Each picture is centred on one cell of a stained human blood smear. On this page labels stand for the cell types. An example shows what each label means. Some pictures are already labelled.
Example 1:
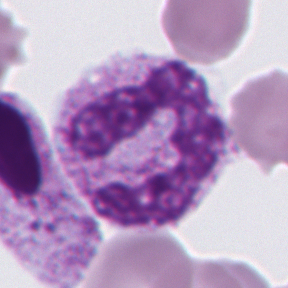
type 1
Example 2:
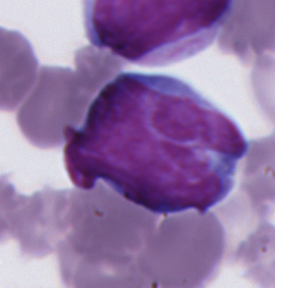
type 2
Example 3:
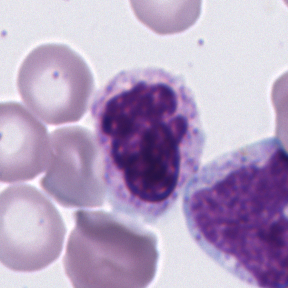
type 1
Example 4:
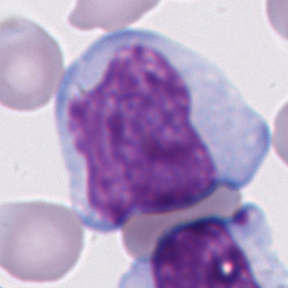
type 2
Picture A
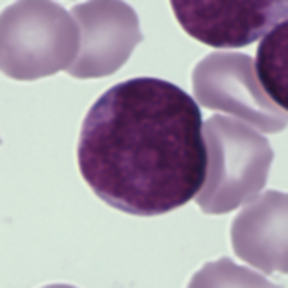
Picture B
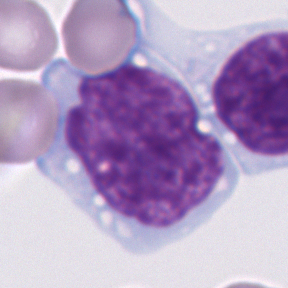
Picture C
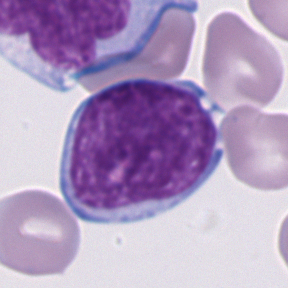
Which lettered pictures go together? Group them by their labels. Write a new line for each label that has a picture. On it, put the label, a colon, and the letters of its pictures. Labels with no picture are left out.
type 2: A, B, C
